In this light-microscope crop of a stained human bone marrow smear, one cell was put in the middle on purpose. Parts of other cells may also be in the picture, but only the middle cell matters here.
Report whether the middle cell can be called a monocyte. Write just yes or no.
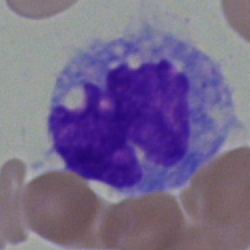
yes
